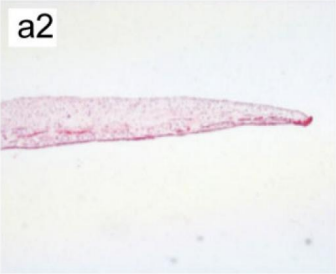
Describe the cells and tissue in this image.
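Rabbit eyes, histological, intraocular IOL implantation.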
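Section of iris showing a thin sheet of loose pink stroma that tapers to a free tip on the right. Small dark dots are scattered evenly through the stroma, and a denser pink line follows the lower edge up to the tip.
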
